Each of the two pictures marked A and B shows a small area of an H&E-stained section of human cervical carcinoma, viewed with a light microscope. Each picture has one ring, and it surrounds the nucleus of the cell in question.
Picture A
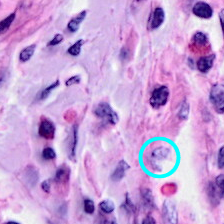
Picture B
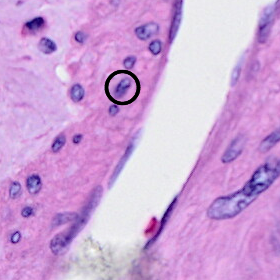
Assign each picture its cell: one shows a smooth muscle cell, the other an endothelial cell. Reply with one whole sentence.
In picture A the cell is an endothelial cell; in picture B, a smooth muscle cell.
